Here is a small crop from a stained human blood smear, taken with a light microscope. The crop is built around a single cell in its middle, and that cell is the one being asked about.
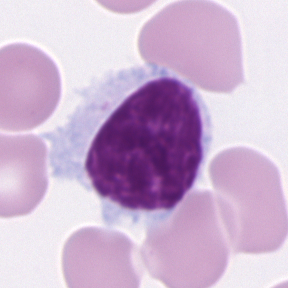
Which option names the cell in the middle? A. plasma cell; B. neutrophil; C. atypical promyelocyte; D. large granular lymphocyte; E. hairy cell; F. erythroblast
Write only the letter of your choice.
E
